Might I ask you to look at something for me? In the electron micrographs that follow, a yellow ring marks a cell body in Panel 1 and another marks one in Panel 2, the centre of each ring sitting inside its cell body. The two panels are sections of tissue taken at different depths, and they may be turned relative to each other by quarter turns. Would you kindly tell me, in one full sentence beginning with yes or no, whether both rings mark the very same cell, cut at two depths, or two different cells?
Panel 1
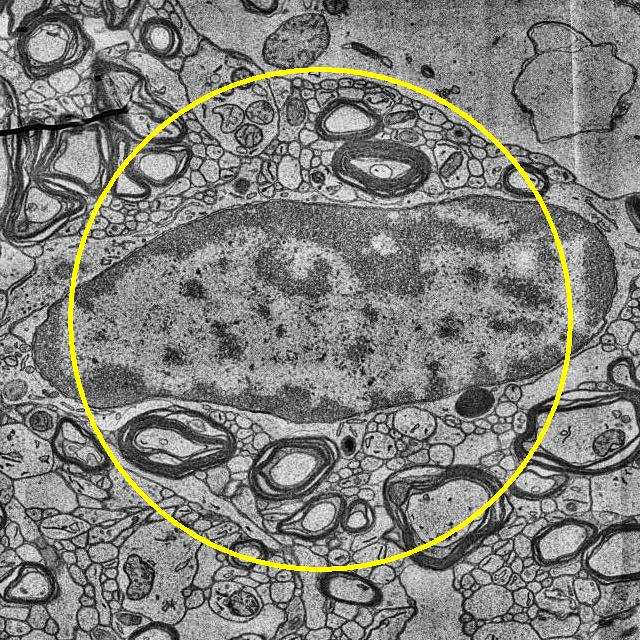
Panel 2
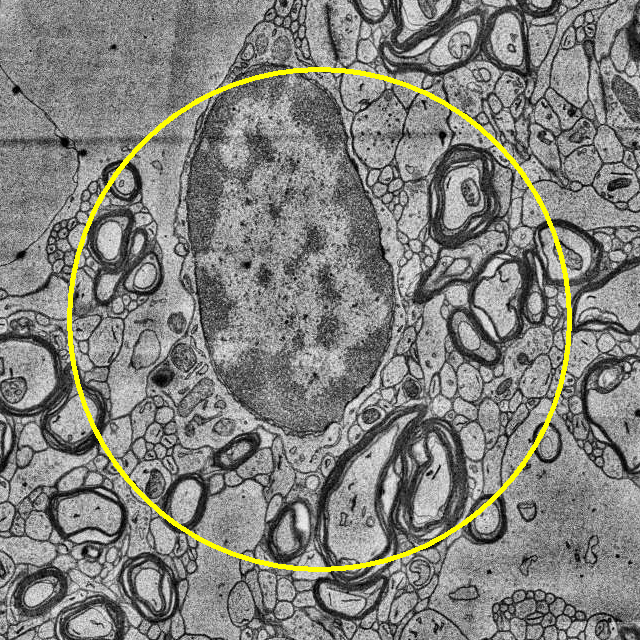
Yes, the second ring marks the same cell as the first.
